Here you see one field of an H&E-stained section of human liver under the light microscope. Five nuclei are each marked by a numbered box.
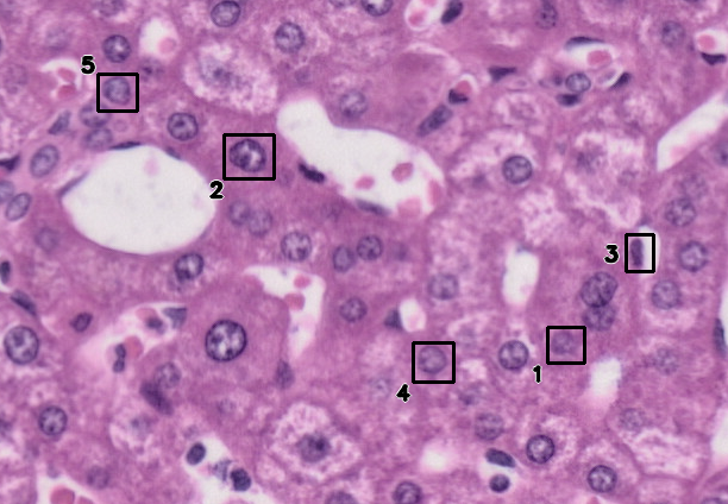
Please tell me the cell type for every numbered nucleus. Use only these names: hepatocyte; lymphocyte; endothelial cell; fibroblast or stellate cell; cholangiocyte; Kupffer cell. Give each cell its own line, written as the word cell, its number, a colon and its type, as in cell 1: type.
cell 1: hepatocyte
cell 2: hepatocyte
cell 3: Kupffer cell
cell 4: hepatocyte
cell 5: cholangiocyte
